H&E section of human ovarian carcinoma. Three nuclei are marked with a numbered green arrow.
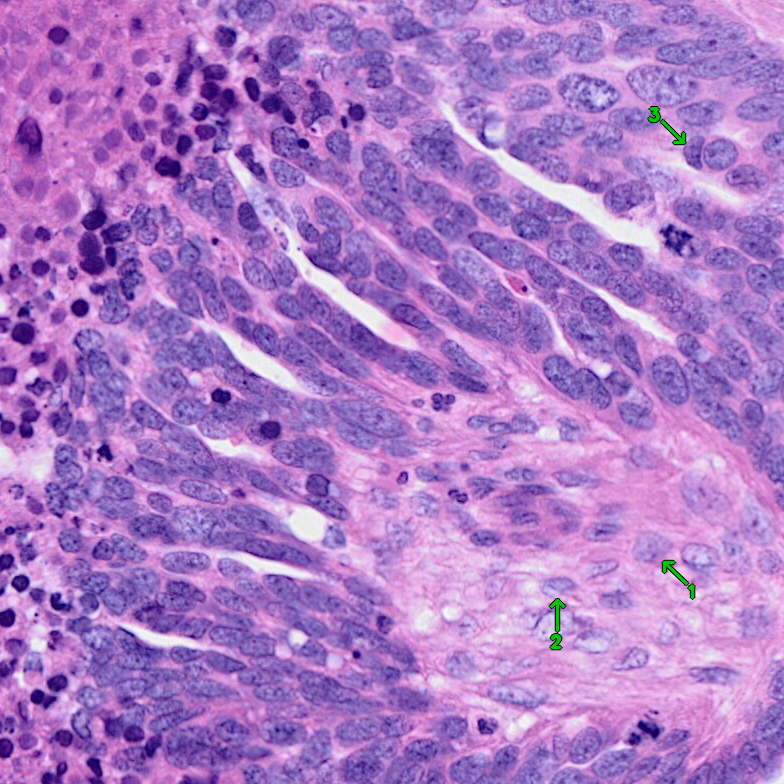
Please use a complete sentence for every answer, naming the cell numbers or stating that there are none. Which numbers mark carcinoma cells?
Only the nucleus marked 3 is that of a carcinoma cell.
